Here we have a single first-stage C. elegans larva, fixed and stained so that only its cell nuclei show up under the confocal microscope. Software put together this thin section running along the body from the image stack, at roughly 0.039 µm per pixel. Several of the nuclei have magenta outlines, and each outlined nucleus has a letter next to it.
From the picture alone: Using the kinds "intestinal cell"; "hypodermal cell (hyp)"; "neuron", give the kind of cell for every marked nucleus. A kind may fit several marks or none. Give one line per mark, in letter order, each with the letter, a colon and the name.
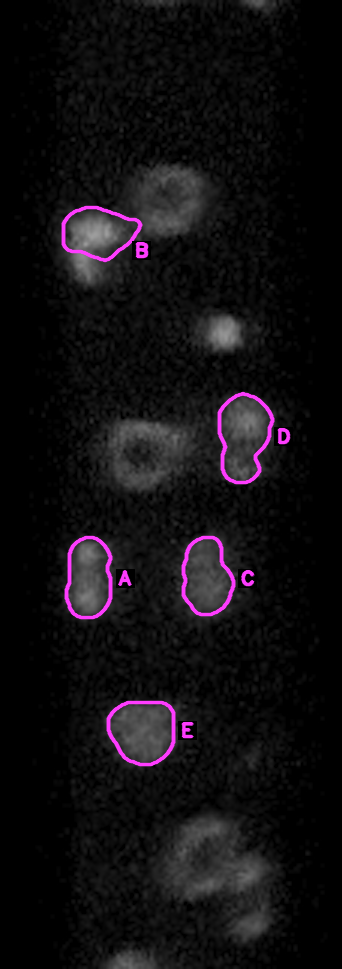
A: hypodermal cell (hyp)
B: neuron
C: intestinal cell
D: hypodermal cell (hyp)
E: intestinal cell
